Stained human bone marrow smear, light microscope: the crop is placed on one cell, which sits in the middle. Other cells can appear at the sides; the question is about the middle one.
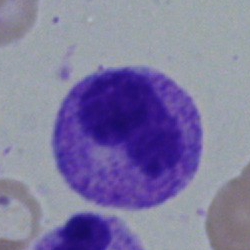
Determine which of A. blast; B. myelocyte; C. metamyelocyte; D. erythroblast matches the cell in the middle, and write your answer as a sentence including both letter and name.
For this crop, option C is right, the centered cell being a metamyelocyte.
